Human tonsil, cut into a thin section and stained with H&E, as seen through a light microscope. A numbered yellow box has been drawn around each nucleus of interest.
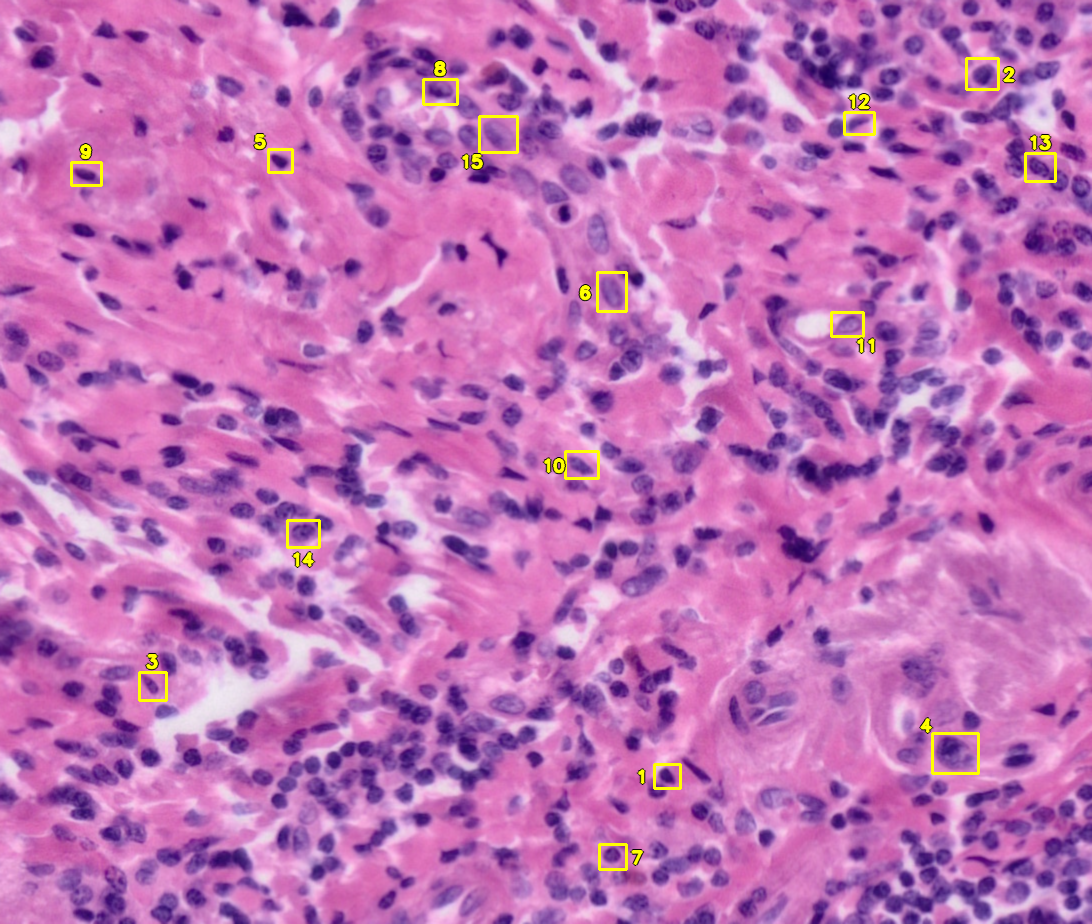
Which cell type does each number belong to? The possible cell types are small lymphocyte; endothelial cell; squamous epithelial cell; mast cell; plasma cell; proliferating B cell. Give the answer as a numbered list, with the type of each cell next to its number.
1. mast cell
2. mast cell
3. mast cell
4. endothelial cell
5. mast cell
6. endothelial cell
7. mast cell
8. endothelial cell
9. mast cell
10. mast cell
11. endothelial cell
12. mast cell
13. plasma cell
14. plasma cell
15. endothelial cell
